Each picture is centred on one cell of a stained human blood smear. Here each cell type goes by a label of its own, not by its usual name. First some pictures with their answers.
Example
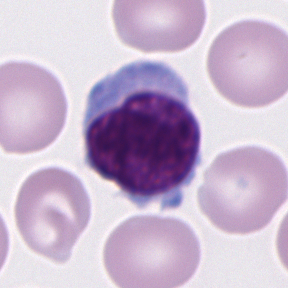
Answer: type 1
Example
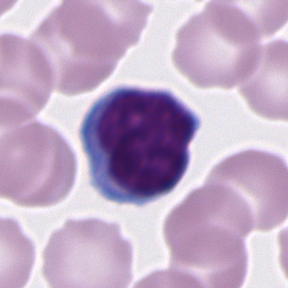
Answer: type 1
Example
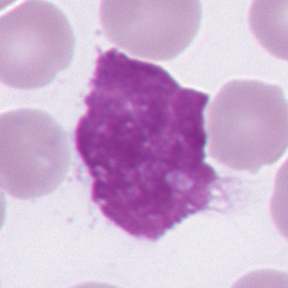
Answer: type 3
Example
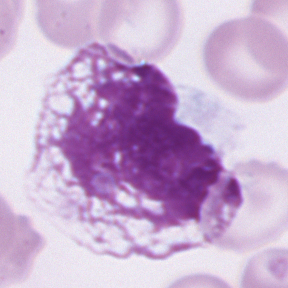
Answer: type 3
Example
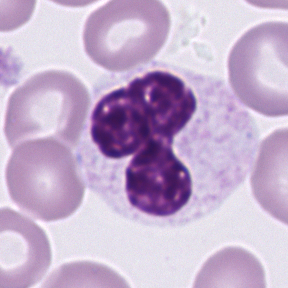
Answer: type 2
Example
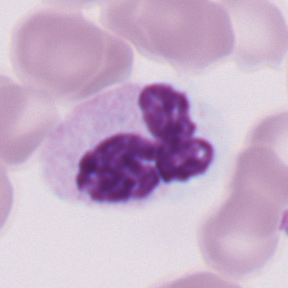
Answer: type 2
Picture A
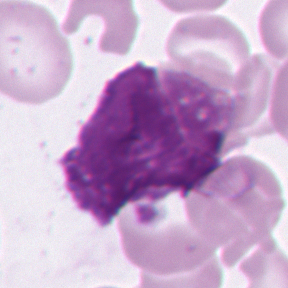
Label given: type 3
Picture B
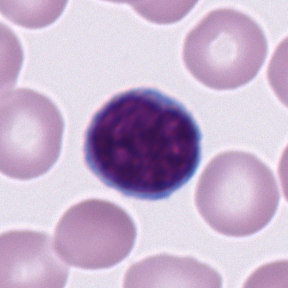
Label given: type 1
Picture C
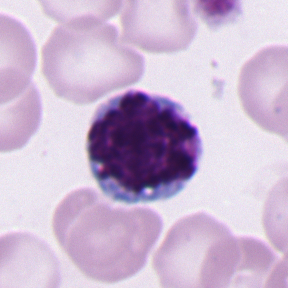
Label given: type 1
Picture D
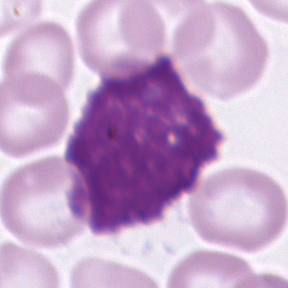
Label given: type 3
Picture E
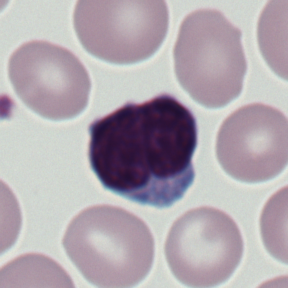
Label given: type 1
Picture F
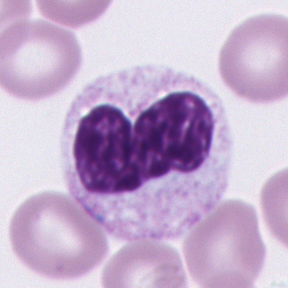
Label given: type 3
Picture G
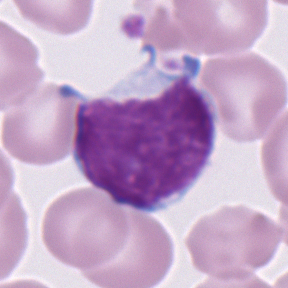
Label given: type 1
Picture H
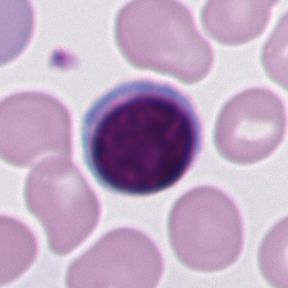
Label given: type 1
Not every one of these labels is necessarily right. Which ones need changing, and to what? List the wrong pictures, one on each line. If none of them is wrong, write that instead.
F: not type 3 but type 2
